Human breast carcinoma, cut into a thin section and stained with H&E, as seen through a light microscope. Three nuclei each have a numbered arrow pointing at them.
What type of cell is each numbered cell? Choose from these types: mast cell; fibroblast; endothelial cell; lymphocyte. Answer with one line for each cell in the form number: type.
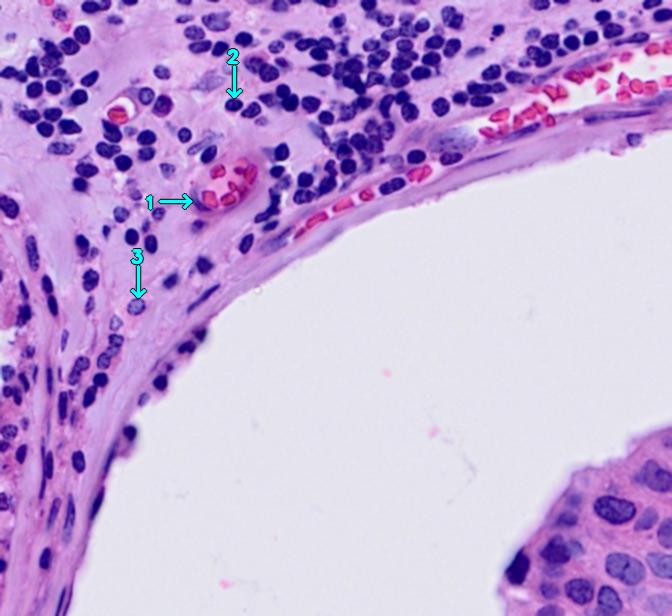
1: endothelial cell
2: lymphocyte
3: mast cell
